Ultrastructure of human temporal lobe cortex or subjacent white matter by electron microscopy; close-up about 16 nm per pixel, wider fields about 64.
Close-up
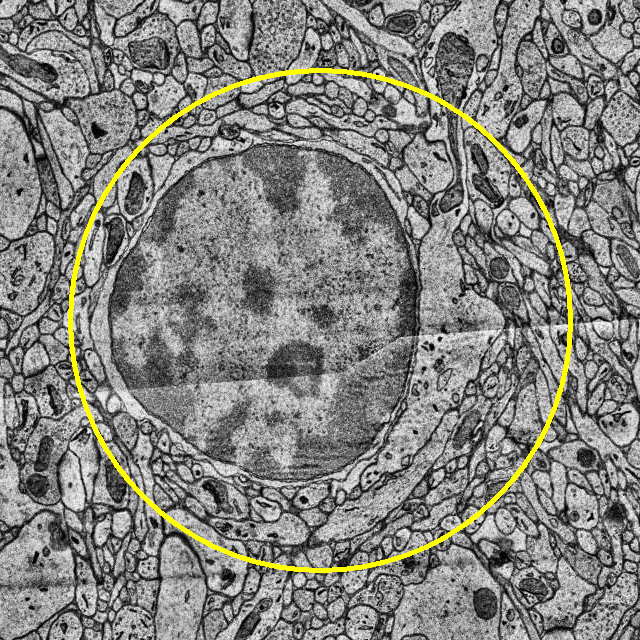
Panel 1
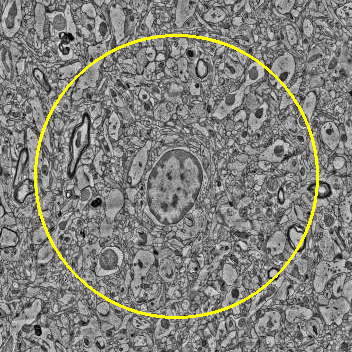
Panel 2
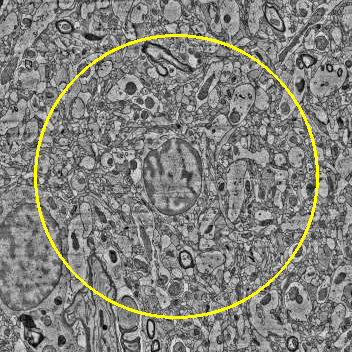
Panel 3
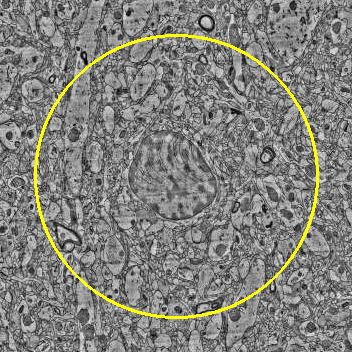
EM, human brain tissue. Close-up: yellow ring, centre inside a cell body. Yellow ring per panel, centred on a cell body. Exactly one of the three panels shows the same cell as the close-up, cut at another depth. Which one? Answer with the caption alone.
Panel 3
